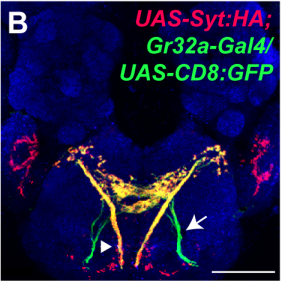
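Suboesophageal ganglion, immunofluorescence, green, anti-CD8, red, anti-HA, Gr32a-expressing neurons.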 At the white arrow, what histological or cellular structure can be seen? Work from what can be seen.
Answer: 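Labial nerve. The arrow points to a green fibre bundle running downward on the right side. The bundle joins the dense arborization in the centre.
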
